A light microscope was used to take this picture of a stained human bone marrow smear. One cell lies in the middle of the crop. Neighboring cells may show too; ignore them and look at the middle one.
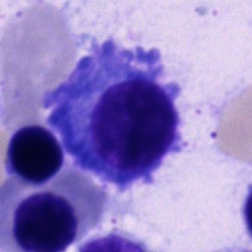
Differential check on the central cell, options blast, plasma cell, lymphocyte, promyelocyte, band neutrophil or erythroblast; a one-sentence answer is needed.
The cell sitting right in the middle is a plasma cell.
